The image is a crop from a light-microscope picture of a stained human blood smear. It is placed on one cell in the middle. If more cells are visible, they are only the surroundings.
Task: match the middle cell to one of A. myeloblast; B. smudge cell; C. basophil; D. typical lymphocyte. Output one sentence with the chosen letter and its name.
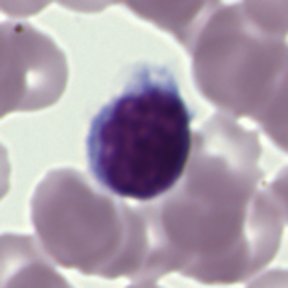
The cell in the middle is a typical lymphocyte, and so option D is correct.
